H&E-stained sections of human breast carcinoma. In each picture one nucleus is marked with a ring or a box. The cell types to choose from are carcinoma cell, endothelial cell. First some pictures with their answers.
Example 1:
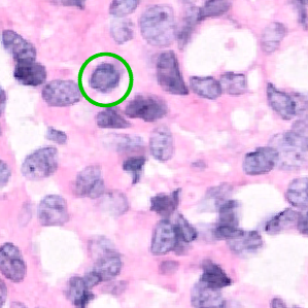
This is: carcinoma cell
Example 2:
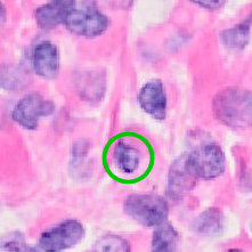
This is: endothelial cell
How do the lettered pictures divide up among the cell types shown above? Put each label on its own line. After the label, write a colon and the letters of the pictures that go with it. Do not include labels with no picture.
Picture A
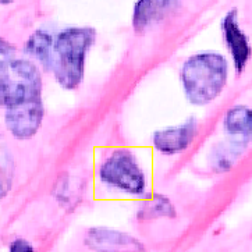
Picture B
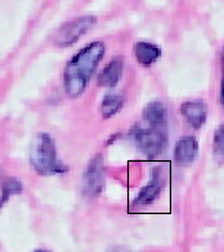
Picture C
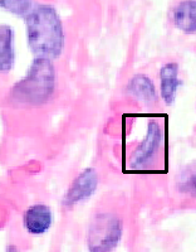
carcinoma cell: A
endothelial cell: B, C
